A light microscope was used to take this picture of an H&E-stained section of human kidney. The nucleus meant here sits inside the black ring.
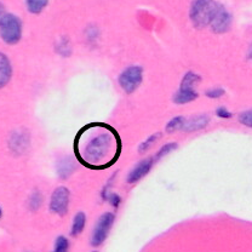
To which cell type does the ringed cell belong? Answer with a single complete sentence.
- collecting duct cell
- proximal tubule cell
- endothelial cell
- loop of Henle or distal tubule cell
This is a loop of Henle or distal tubule cell.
